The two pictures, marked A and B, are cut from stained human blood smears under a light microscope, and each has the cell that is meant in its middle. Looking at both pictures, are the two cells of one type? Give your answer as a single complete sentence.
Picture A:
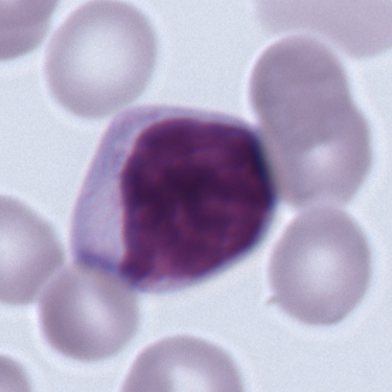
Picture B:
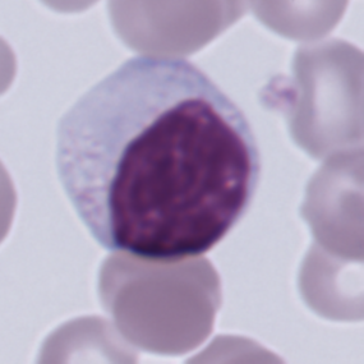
Yes, both are large granular lymphocytes.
